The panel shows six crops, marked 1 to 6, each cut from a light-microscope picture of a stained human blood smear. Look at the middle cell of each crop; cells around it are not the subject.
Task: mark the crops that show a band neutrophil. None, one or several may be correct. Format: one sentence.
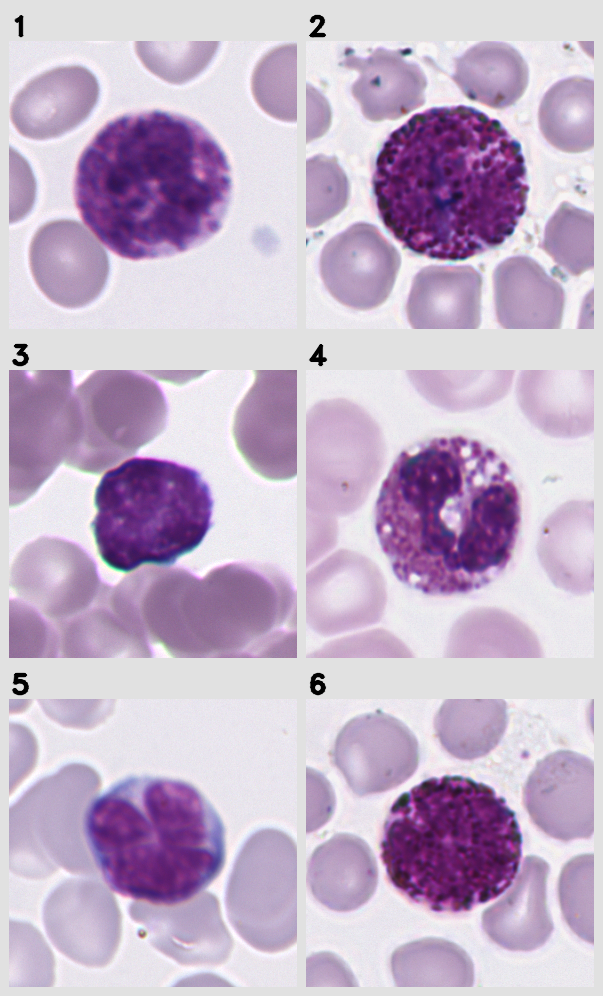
None of the crops has a band neutrophil in the middle.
